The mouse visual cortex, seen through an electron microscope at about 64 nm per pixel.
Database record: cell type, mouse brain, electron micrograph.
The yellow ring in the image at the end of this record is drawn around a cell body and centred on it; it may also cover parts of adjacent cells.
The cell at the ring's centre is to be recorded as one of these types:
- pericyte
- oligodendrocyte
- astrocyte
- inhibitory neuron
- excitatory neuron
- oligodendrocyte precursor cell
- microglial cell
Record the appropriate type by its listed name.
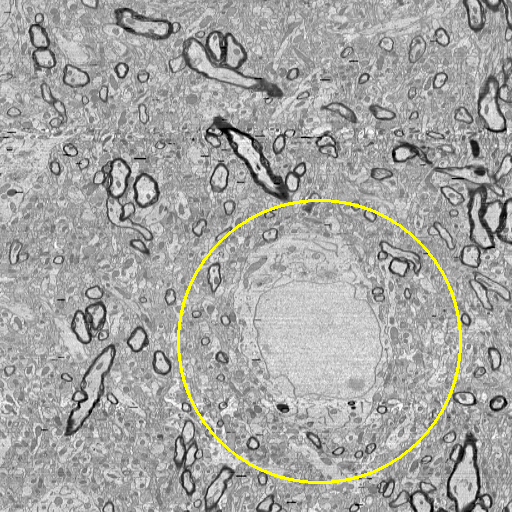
excitatory neuron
